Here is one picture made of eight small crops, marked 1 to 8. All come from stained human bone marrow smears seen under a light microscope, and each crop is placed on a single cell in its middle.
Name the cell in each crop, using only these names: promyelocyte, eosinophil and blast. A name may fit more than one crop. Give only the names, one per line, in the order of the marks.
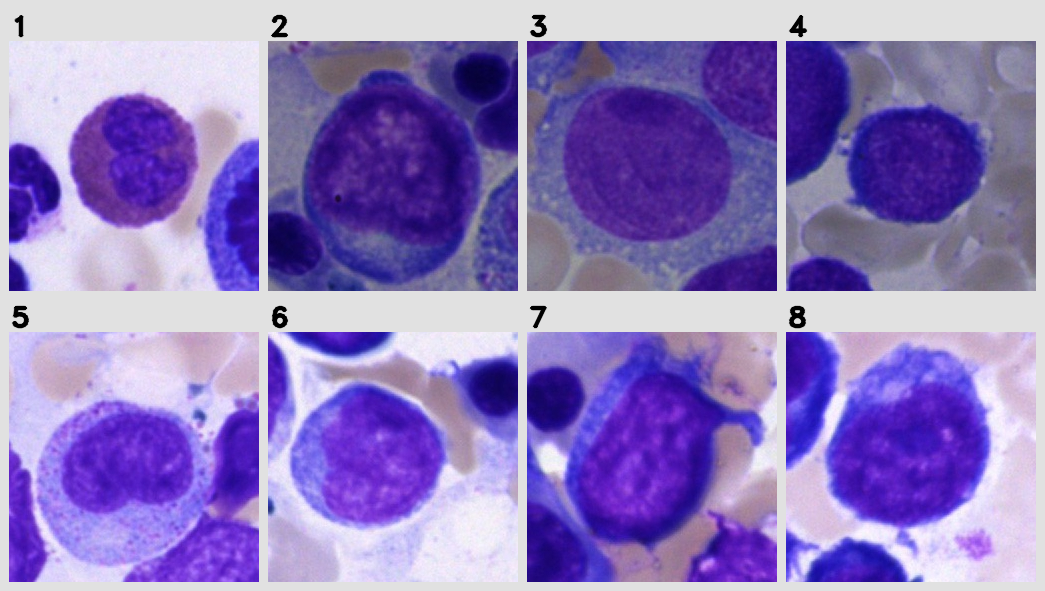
eosinophil
blast
blast
blast
promyelocyte
blast
blast
blast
